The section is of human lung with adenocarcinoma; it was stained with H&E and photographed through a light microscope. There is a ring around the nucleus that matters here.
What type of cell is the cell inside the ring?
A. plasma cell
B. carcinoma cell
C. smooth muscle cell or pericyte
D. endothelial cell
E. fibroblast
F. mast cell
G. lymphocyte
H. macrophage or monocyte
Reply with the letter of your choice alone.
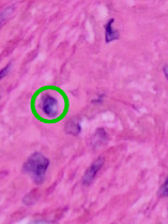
F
